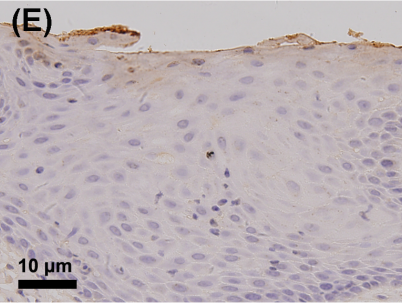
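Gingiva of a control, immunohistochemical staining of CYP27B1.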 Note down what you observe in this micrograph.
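The deeper cells are polygonal, with oval, pale blue nuclei and light cytoplasm. Toward the top the cells and their nuclei become flatter and lie parallel to the surface. Along the outermost edge there is a thin band of brown staining, while the rest of the layer stays mostly pale.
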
